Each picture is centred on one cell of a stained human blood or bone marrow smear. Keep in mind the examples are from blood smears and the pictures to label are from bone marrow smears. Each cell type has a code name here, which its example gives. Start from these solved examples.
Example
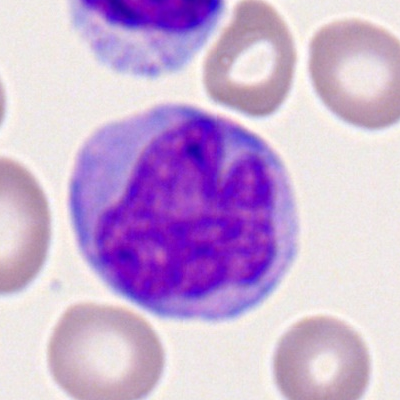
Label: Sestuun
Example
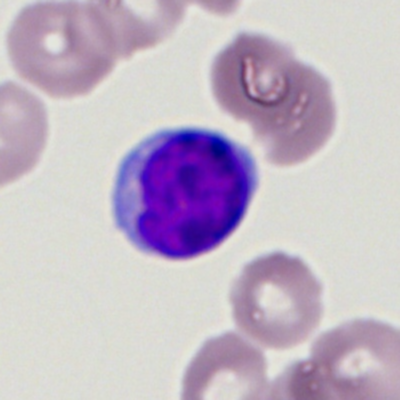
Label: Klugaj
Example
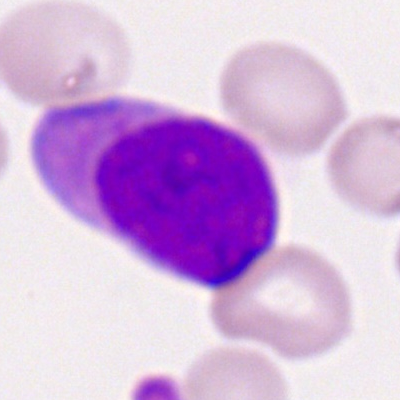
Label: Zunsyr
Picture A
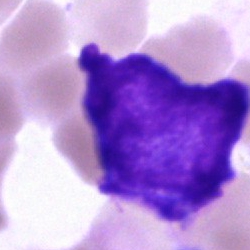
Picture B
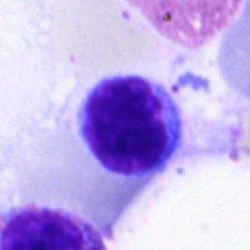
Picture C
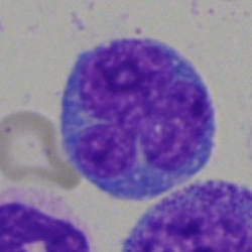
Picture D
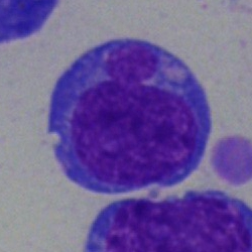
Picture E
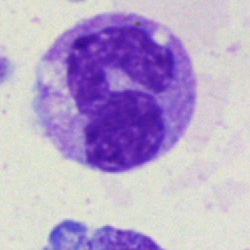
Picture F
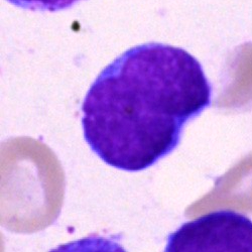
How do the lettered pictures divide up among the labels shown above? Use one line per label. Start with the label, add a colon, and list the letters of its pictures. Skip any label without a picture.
Sestuun: E
Klugaj: B
Zunsyr: A, C, D, F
